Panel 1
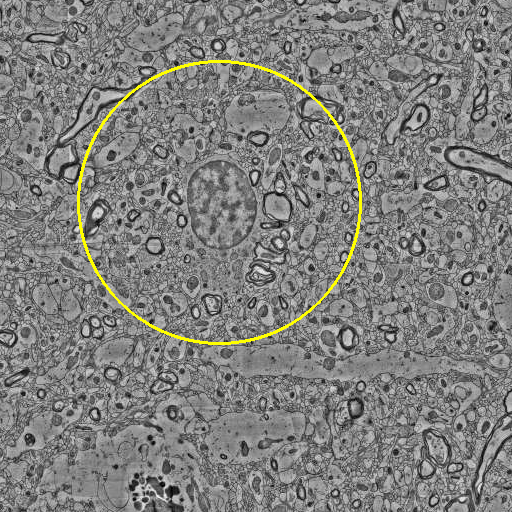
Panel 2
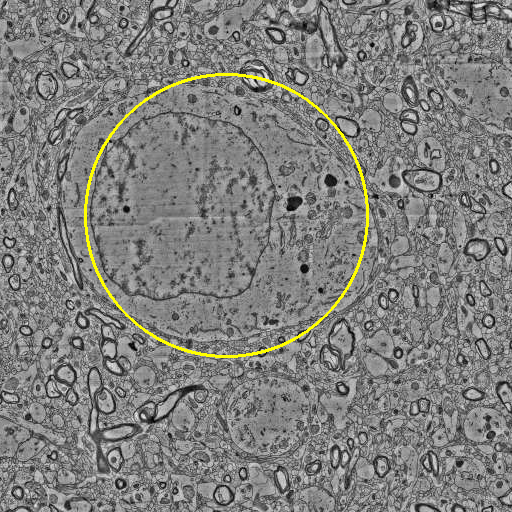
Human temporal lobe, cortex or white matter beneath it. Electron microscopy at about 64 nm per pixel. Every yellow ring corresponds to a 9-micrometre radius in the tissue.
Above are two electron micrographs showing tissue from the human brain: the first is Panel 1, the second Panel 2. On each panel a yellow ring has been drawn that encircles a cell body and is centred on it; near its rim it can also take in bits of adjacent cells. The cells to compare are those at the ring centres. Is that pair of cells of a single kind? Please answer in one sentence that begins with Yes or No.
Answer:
No, the ring-centred cells of Panel 1 and Panel 2 belong to two kinds.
